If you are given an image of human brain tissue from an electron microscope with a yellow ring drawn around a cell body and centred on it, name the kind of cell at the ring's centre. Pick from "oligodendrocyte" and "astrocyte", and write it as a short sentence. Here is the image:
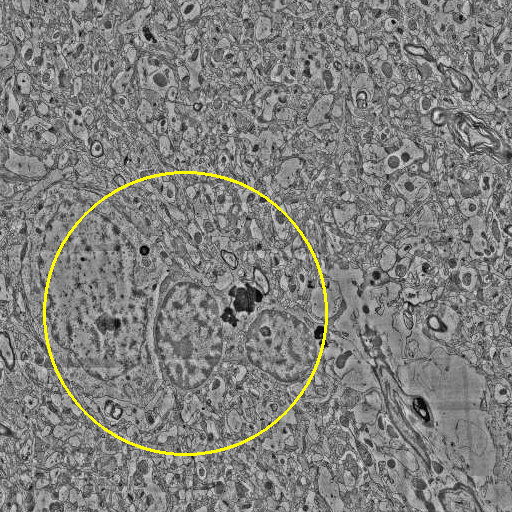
The cell at the ring's centre is an oligodendrocyte.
